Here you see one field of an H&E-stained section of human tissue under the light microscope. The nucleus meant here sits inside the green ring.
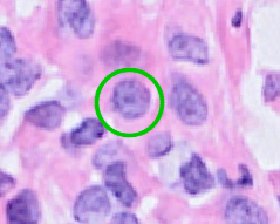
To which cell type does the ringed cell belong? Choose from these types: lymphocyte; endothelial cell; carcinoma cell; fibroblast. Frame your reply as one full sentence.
At the level of cell identity, the ringed cell is a carcinoma cell.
